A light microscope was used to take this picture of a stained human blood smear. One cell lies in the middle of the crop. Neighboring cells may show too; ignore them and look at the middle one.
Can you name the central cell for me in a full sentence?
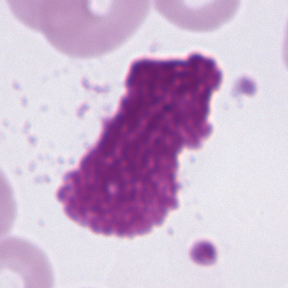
Classified as a smudge cell is the cell in the middle of this crop.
